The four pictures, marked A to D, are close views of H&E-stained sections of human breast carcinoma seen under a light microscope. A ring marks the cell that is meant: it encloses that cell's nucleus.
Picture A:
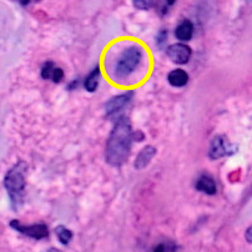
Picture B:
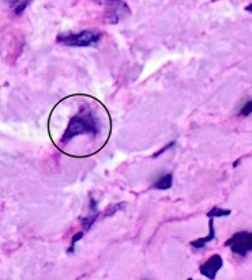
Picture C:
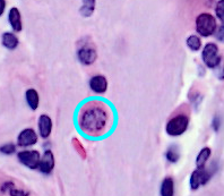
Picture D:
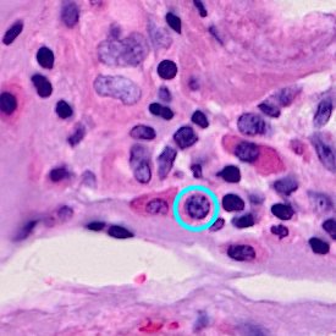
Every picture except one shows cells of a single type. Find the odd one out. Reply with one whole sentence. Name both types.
The different one is picture B; it shows a fibroblast, whereas all the others show mast cells.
